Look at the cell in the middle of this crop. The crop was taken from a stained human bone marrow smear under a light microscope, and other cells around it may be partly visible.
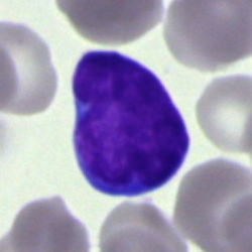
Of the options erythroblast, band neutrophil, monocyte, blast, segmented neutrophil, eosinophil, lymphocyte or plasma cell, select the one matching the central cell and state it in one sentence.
The cell sitting right in the middle is a blast.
